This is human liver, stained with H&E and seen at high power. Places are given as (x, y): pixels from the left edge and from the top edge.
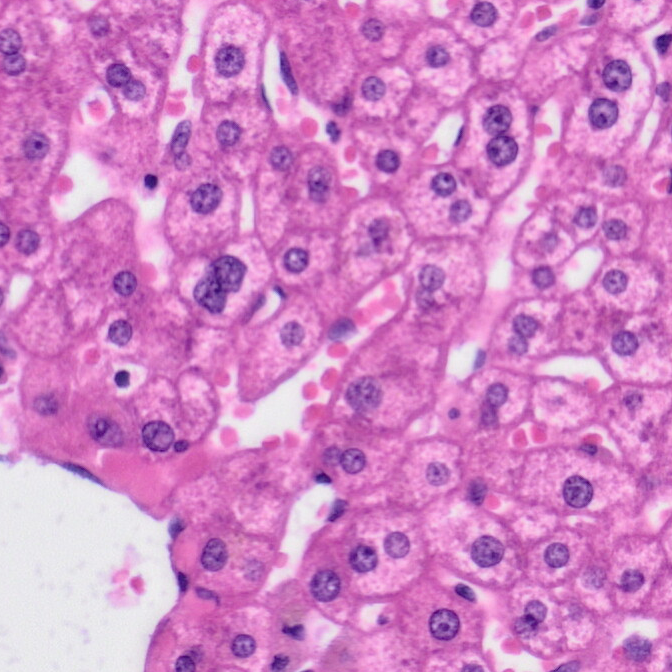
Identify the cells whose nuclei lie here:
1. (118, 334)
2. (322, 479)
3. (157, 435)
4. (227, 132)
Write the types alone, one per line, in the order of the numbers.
hepatocyte
fibroblast or stellate cell
hepatocyte
hepatocyte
